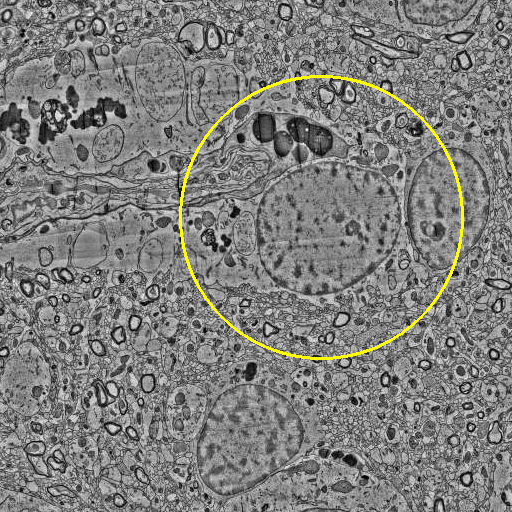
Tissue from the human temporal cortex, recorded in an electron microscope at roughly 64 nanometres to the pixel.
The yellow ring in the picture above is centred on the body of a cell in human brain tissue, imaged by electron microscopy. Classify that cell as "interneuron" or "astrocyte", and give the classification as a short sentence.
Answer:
The cell in the middle of the ring is an astrocyte.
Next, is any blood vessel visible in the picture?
Yes, one shows.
